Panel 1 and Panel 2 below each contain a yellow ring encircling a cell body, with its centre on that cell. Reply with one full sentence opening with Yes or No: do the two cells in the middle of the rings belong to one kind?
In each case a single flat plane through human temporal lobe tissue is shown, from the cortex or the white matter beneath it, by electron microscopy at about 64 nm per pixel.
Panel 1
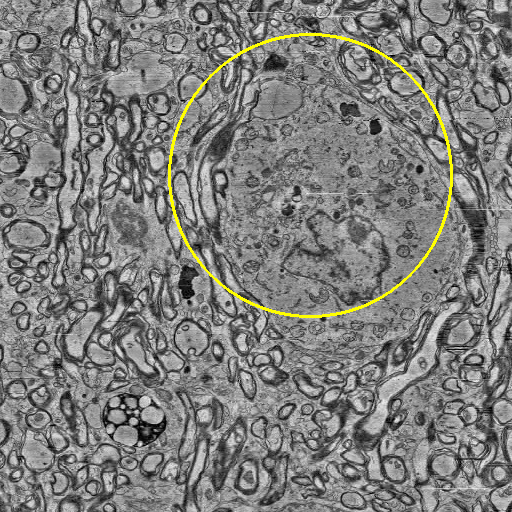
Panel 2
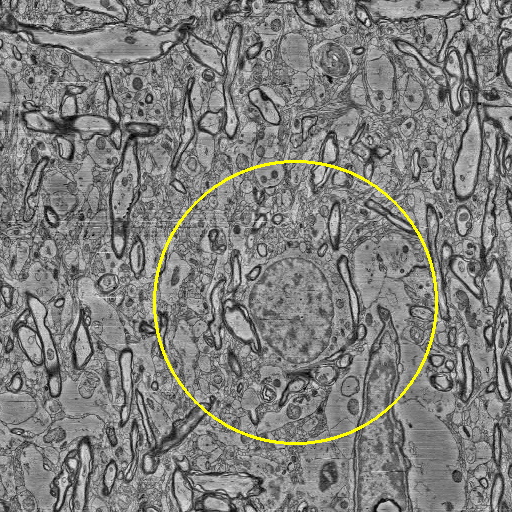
No, the cells at the middle of the Panel 1 ring and the Panel 2 ring are of two kinds.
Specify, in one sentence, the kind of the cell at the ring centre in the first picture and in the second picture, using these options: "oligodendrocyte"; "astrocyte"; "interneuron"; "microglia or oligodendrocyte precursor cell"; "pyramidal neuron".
So the first is a pyramidal neuron, the second an oligodendrocyte.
